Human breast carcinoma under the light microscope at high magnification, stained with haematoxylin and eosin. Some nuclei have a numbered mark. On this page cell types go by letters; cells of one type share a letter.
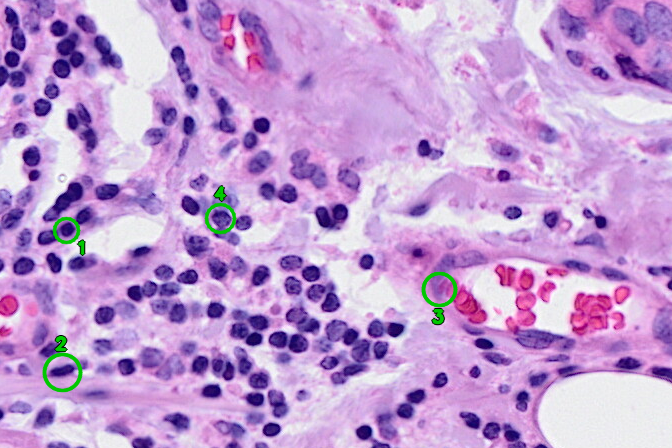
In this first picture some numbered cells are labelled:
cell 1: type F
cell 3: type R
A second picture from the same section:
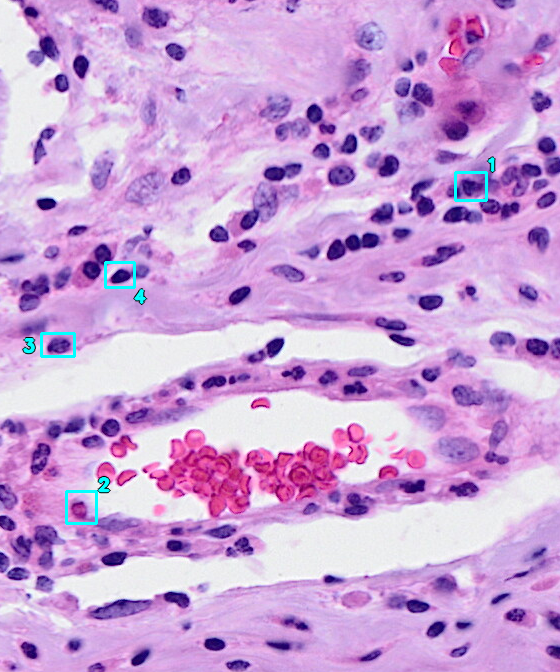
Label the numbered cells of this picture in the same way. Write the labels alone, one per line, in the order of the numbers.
type F
type R
type F
type F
